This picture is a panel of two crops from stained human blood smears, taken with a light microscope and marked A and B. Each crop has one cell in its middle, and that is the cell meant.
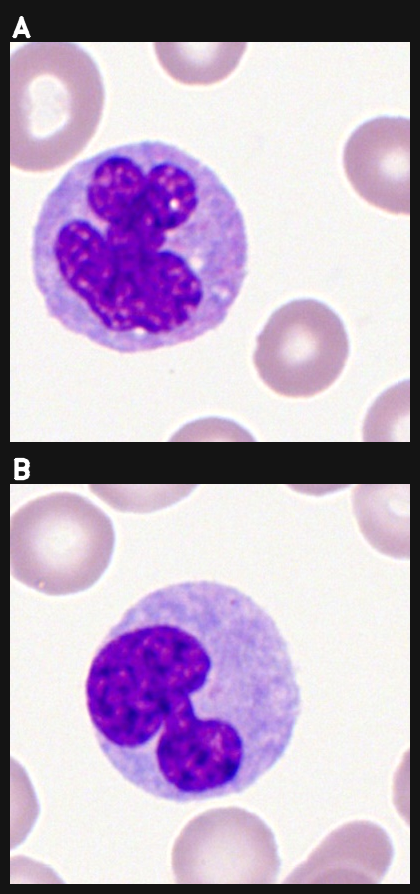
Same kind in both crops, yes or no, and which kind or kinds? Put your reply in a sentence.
Yes, in both crops the centred cells are monocytes.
